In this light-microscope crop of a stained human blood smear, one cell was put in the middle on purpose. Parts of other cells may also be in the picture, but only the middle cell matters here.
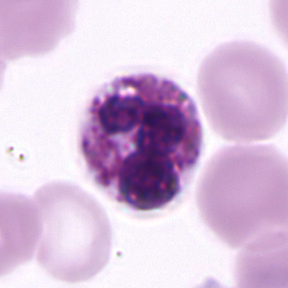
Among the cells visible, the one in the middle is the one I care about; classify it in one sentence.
This crop is built around an eosinophil at its centre.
